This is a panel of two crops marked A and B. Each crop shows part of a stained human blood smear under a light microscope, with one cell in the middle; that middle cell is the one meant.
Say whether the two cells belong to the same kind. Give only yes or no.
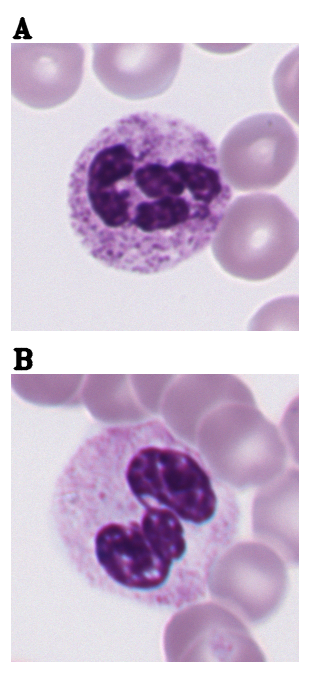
yes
